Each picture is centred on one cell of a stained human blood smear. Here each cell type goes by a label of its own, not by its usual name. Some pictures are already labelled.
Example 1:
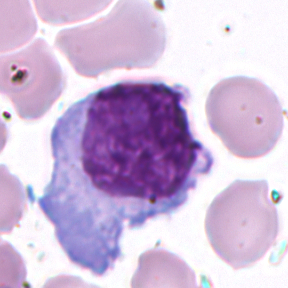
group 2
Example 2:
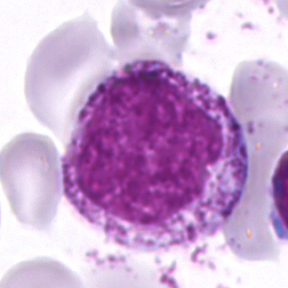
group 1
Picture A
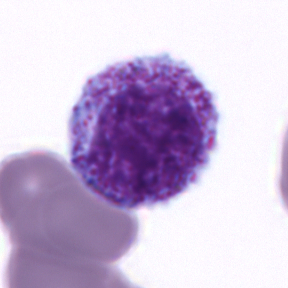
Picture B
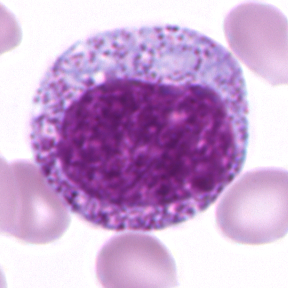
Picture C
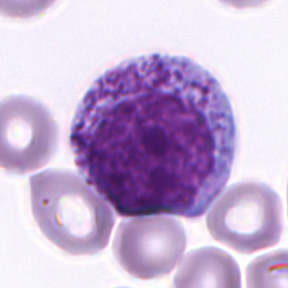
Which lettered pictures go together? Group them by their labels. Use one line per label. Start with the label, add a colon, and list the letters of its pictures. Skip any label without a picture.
group 1: A, B, C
